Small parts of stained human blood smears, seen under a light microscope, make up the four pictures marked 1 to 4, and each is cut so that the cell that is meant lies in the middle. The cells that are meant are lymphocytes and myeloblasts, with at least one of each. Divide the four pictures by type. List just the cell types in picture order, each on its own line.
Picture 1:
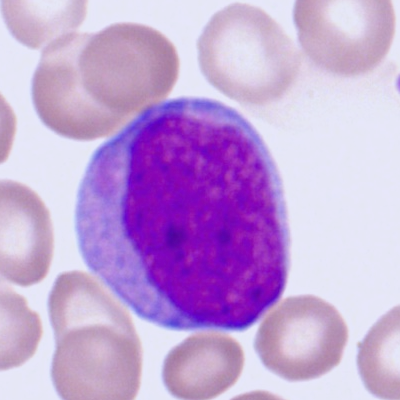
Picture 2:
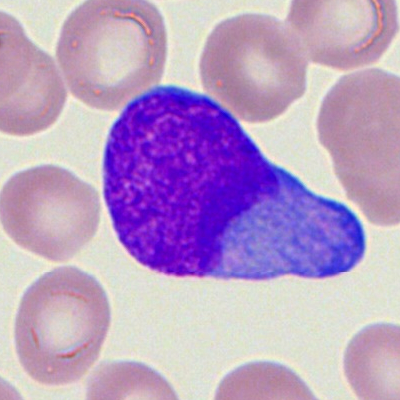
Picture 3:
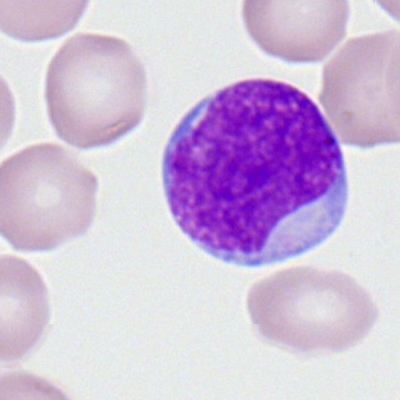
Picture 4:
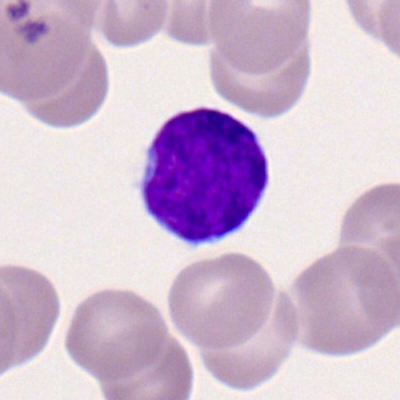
myeloblast
myeloblast
myeloblast
lymphocyte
